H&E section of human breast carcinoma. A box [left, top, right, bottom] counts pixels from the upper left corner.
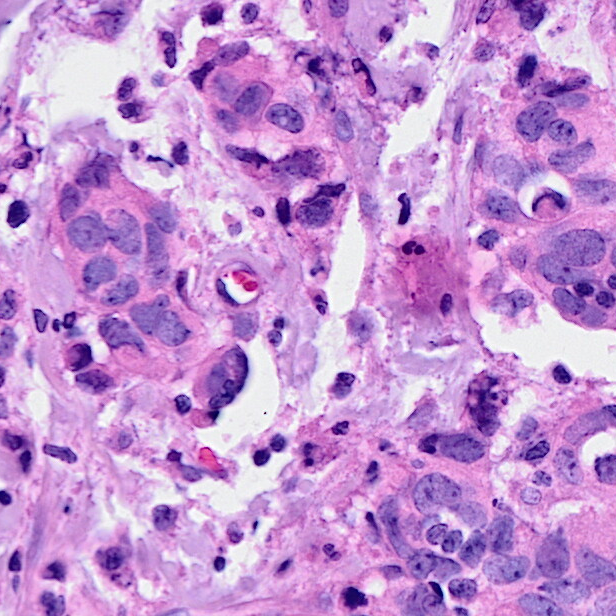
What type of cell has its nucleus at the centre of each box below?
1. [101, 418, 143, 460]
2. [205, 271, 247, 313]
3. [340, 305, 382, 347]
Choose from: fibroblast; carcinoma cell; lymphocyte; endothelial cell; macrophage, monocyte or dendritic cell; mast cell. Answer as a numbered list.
1. macrophage, monocyte or dendritic cell
2. endothelial cell
3. fibroblast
